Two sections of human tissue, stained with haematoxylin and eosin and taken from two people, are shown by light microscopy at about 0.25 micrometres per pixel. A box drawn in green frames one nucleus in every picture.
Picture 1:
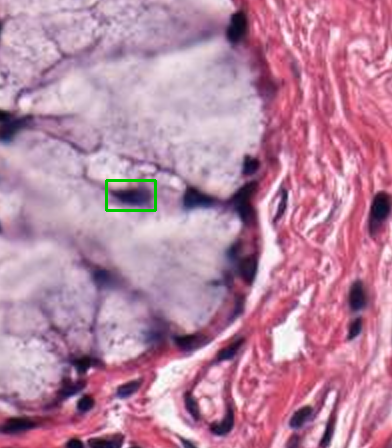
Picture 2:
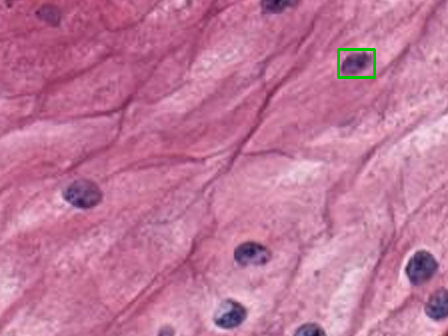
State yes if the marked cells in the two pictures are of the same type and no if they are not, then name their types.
No, the first is a mucous gland cell and the second a squamous epithelial cell.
